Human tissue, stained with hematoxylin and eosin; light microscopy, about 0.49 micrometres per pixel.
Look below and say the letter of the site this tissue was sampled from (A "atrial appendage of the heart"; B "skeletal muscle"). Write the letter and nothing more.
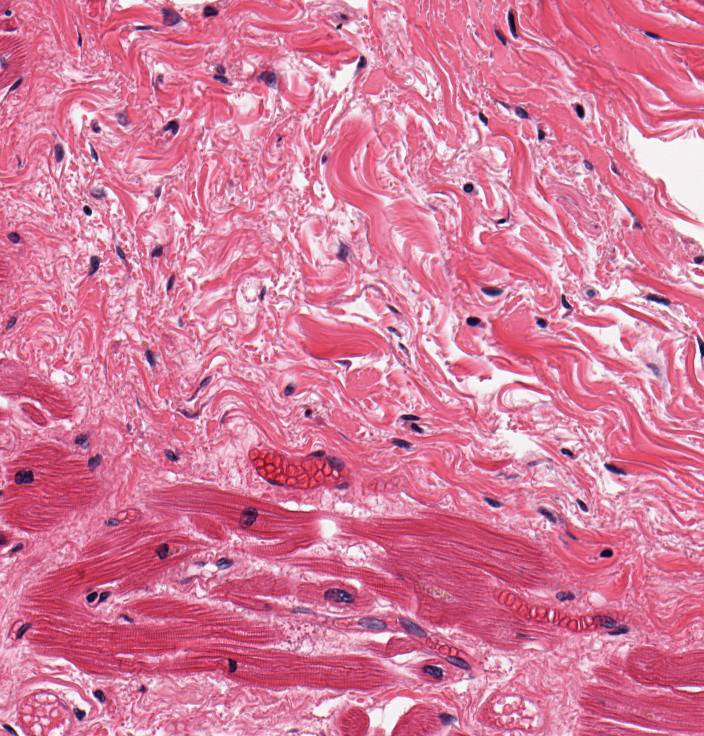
A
